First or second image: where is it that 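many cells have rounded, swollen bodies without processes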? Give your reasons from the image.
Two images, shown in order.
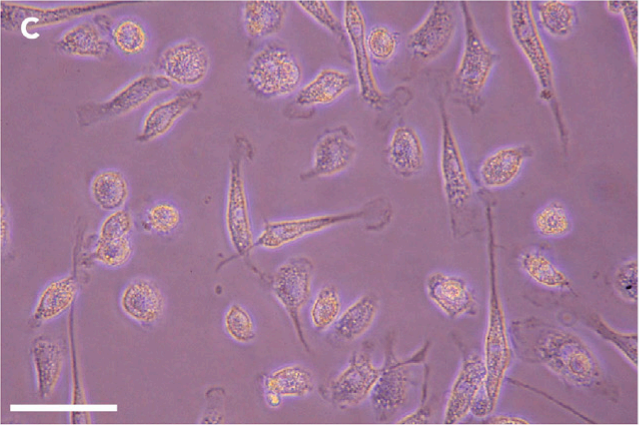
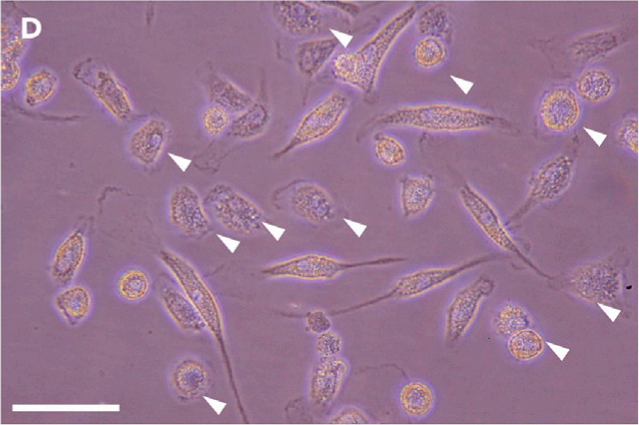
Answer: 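Second image: many cells are rounded and plump, without long processes. First image: more cells are elongated or branched with slender processes.
Conclusion: the second image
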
